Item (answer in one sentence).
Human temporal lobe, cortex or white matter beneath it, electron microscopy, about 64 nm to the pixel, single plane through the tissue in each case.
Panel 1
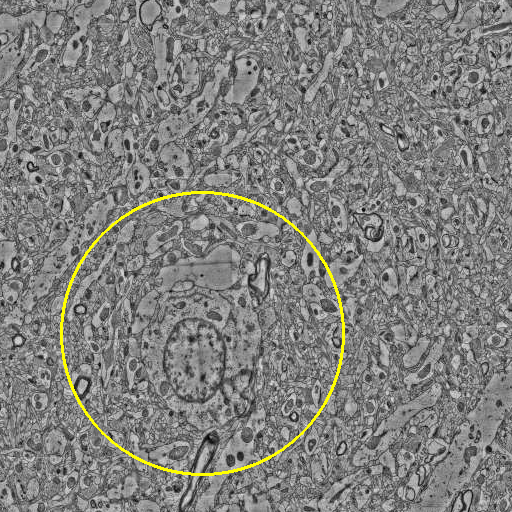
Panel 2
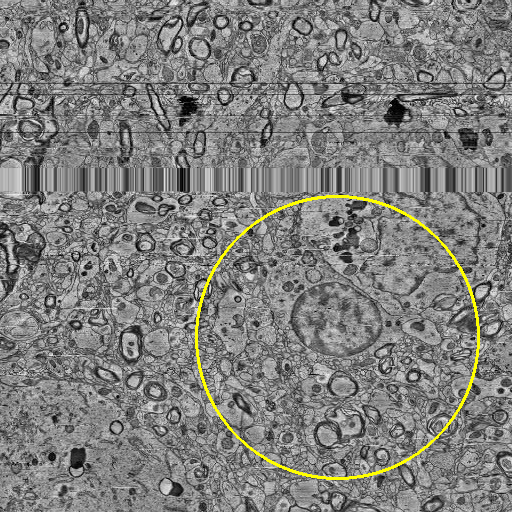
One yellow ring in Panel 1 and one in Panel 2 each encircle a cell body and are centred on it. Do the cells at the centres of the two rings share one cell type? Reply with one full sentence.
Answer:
No, Panel 1 and Panel 2 show cells of two types at the centres of their rings.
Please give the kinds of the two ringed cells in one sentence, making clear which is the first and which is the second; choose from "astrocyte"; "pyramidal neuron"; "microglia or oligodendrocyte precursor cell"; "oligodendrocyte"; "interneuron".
In the second picture the ringed cell is an oligodendrocyte; in the first it is a pyramidal neuron.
